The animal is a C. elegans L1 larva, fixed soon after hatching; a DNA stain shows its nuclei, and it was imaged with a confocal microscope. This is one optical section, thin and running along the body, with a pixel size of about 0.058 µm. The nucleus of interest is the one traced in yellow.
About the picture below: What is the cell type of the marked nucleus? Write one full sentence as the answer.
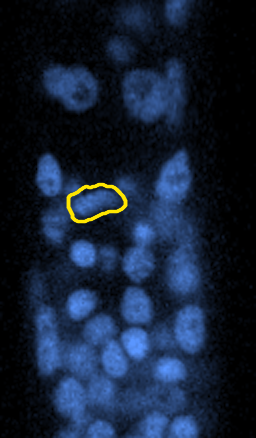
It belongs to a valve cell of the gut.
